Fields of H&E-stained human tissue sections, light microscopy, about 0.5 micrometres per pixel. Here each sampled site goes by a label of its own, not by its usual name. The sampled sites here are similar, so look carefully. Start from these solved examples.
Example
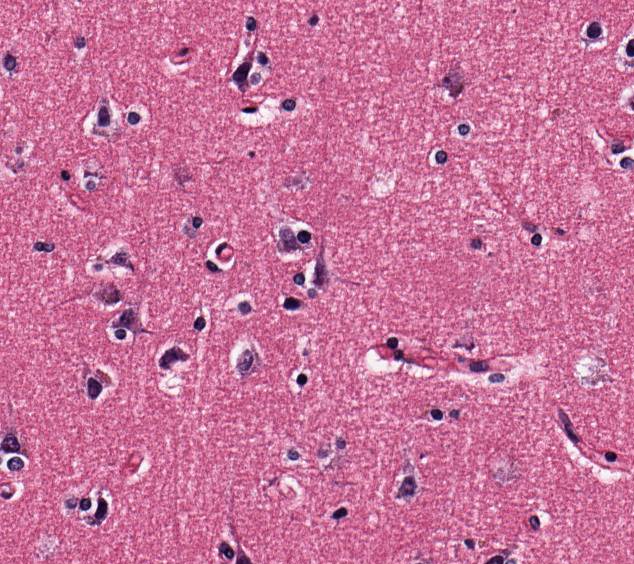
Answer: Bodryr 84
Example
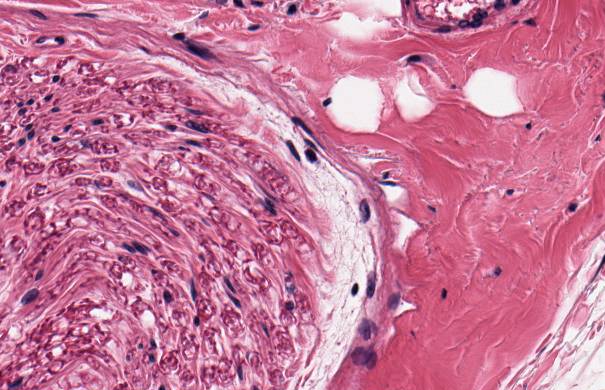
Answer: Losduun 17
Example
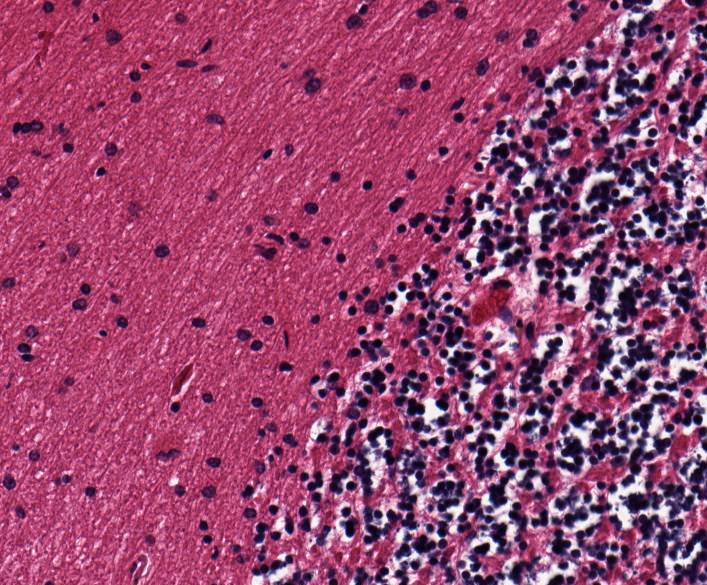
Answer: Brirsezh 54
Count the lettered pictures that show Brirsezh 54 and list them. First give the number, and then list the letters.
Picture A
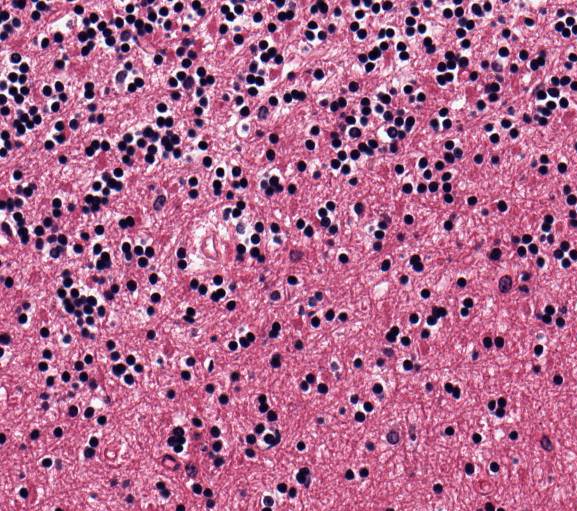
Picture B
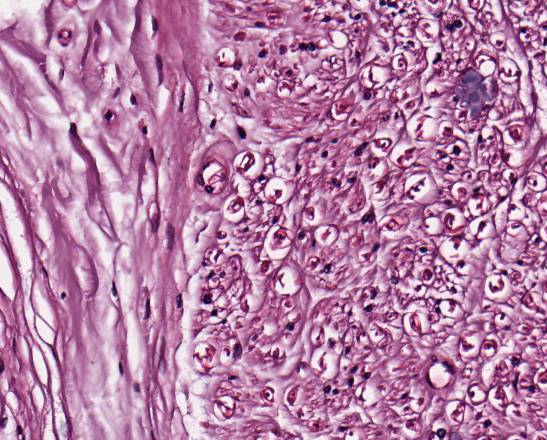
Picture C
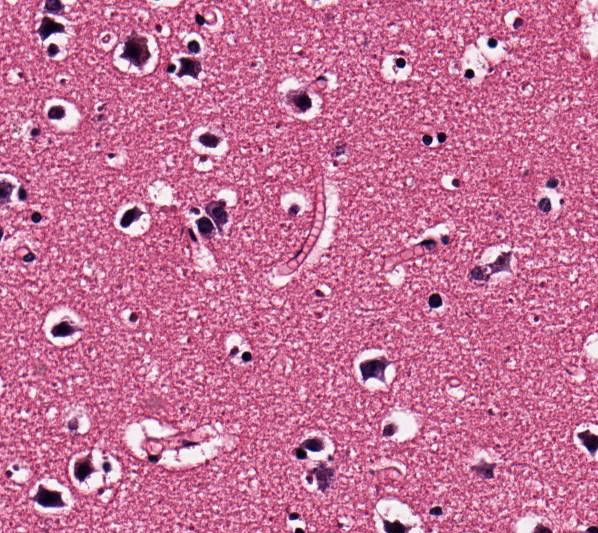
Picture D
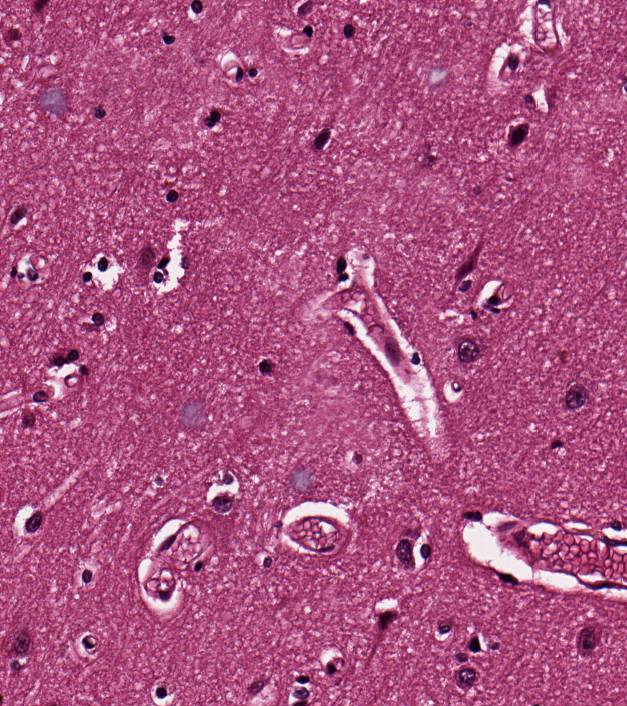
1, namely A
